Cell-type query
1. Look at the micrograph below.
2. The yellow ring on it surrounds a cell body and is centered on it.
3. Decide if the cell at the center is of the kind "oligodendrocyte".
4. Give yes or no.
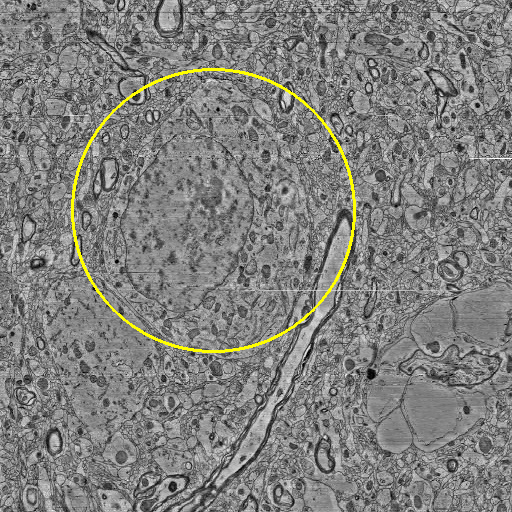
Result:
no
